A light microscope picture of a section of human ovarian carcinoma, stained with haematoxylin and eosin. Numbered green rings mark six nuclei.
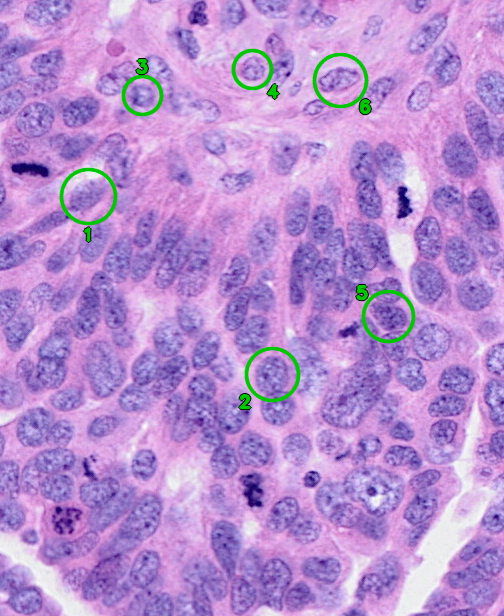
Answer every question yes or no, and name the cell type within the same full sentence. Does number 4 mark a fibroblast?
Yes, the cell corresponding to number 4 is a fibroblast.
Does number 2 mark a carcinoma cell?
Yes, it is a carcinoma cell that number 2 identifies.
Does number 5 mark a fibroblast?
No, number 5 marks a carcinoma cell rather than a fibroblast.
